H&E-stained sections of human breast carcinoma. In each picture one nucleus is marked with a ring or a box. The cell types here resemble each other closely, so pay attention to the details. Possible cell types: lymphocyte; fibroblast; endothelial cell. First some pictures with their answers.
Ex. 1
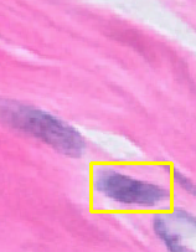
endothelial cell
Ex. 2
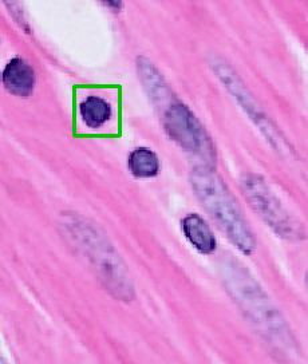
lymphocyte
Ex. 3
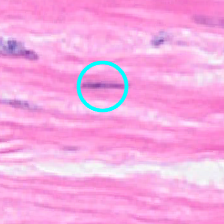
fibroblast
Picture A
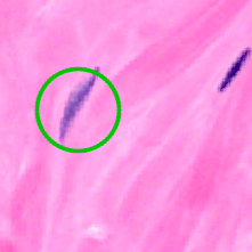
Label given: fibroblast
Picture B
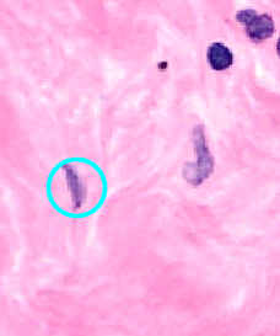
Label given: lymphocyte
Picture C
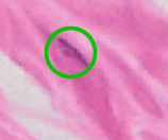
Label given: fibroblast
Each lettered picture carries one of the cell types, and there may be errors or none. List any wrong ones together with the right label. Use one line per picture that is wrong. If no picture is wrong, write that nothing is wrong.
B: not lymphocyte but fibroblast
